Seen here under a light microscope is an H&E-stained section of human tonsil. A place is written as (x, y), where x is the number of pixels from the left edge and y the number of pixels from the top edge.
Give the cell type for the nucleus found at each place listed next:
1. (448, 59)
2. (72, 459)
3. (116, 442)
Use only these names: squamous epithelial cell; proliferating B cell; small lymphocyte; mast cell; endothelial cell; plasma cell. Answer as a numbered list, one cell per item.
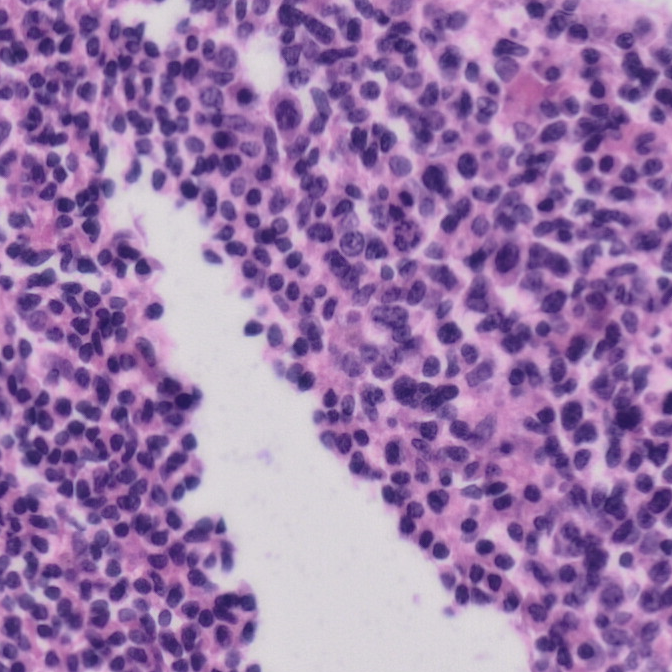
1. proliferating B cell
2. small lymphocyte
3. small lymphocyte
